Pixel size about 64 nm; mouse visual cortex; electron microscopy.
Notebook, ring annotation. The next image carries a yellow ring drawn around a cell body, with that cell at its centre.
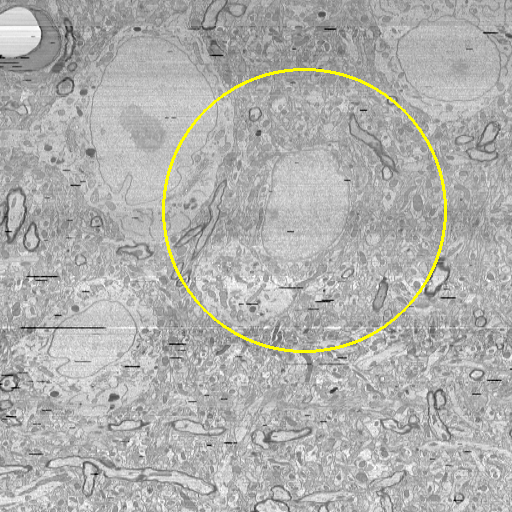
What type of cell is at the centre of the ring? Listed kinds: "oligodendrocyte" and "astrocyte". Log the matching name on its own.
astrocyte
